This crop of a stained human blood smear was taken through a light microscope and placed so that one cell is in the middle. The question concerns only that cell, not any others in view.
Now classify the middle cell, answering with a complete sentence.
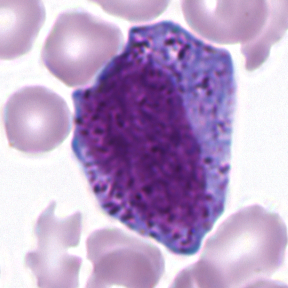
What sits at the centre of this crop is a promyelocyte.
